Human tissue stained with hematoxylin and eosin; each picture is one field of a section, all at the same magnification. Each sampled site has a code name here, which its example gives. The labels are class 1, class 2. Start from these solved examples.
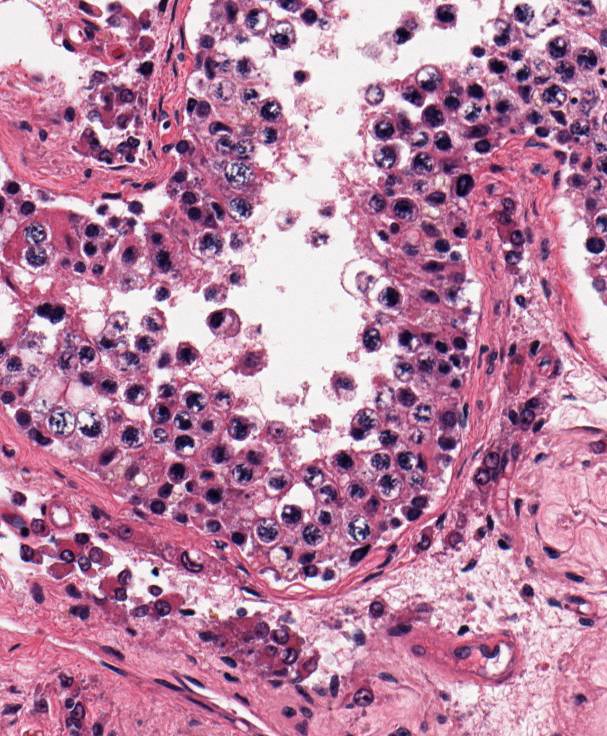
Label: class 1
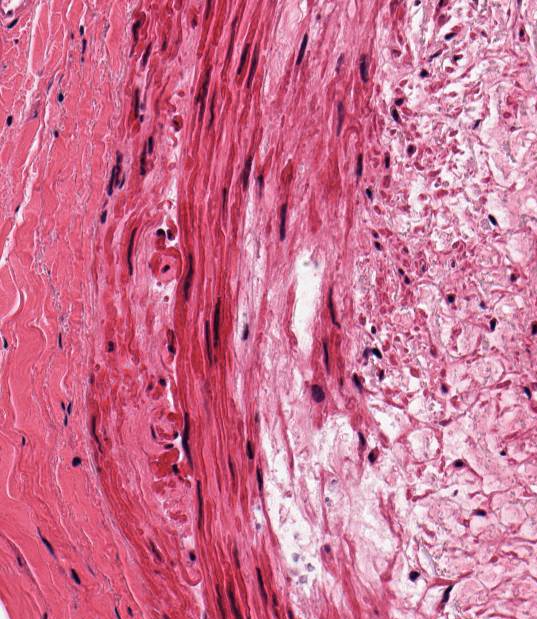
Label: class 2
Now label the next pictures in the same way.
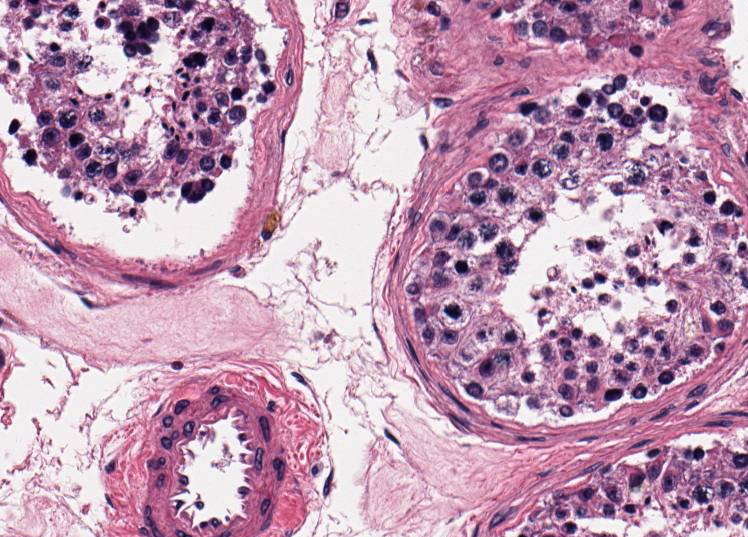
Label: class 1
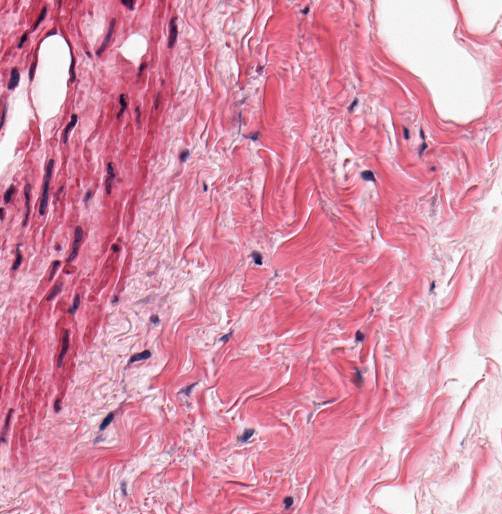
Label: class 2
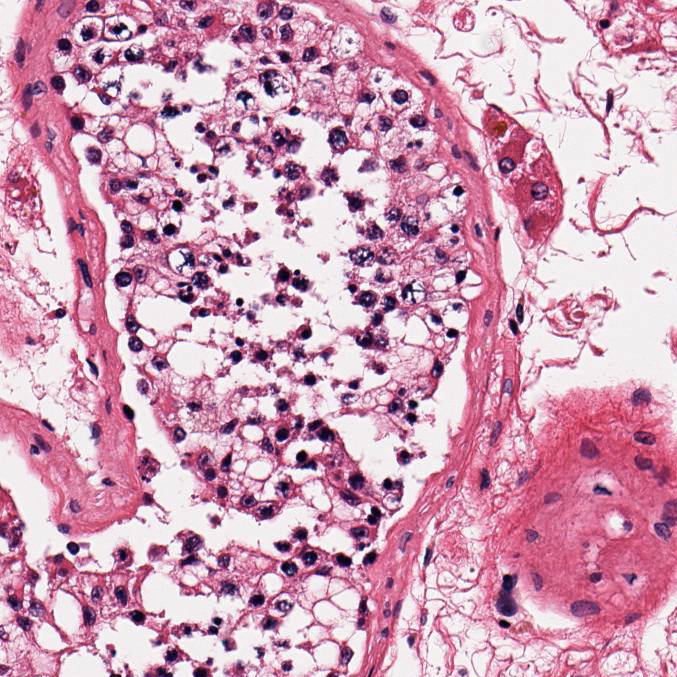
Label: class 1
